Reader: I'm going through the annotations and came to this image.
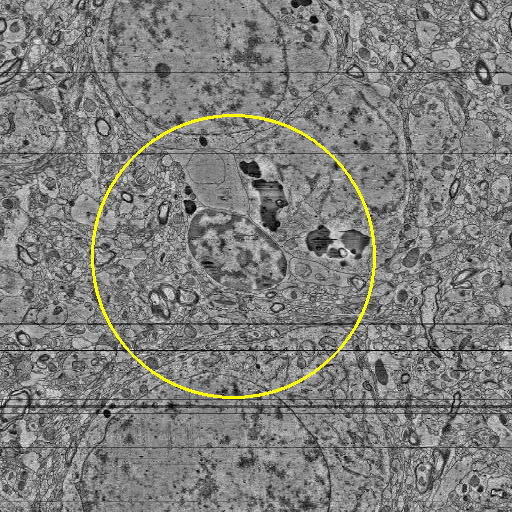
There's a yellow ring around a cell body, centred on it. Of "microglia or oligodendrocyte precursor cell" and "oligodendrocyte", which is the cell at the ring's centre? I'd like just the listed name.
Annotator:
microglia or oligodendrocyte precursor cell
